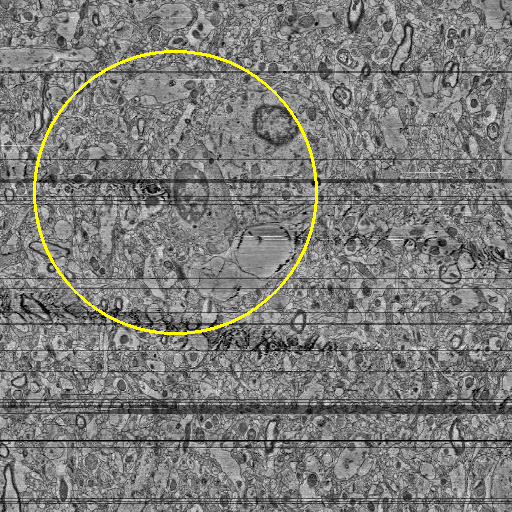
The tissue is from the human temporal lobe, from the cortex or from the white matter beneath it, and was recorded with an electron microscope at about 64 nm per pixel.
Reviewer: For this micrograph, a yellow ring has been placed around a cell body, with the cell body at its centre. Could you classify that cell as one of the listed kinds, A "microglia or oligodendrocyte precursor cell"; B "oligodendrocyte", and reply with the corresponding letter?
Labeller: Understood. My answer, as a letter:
B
